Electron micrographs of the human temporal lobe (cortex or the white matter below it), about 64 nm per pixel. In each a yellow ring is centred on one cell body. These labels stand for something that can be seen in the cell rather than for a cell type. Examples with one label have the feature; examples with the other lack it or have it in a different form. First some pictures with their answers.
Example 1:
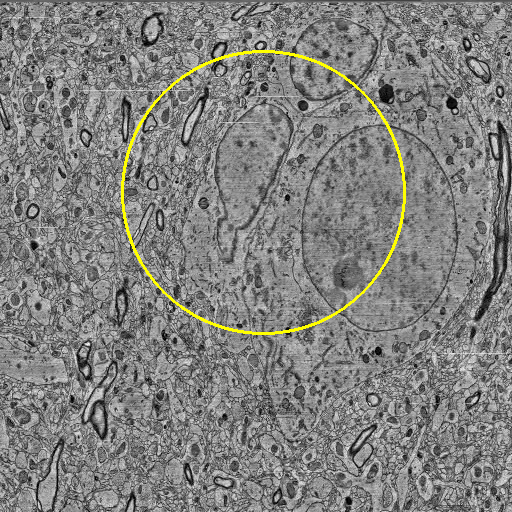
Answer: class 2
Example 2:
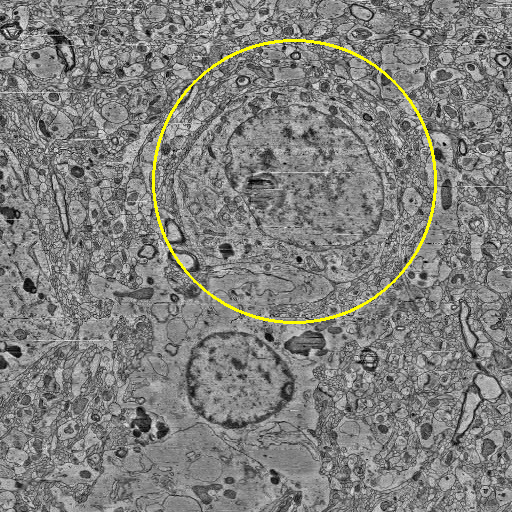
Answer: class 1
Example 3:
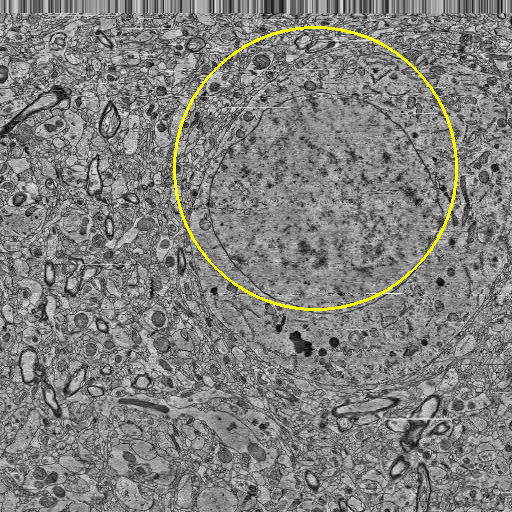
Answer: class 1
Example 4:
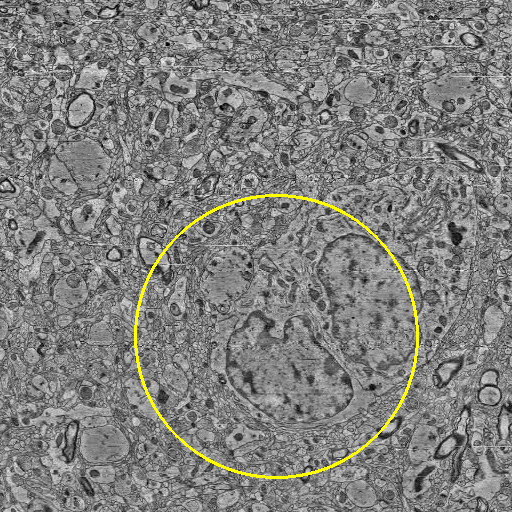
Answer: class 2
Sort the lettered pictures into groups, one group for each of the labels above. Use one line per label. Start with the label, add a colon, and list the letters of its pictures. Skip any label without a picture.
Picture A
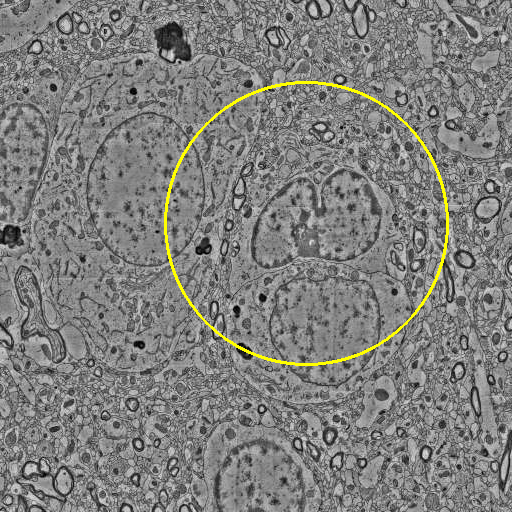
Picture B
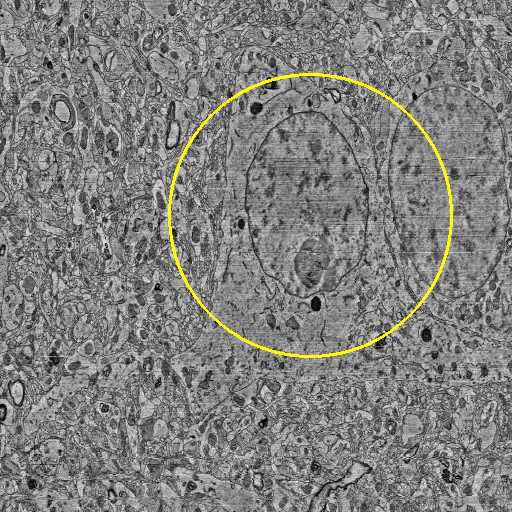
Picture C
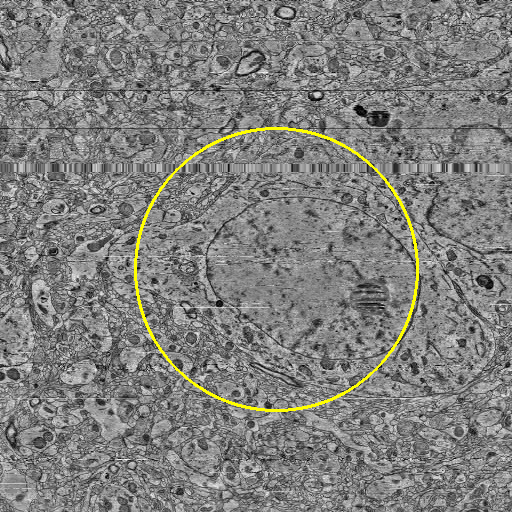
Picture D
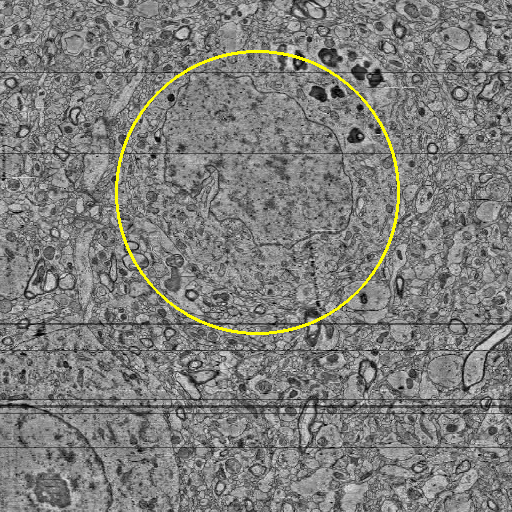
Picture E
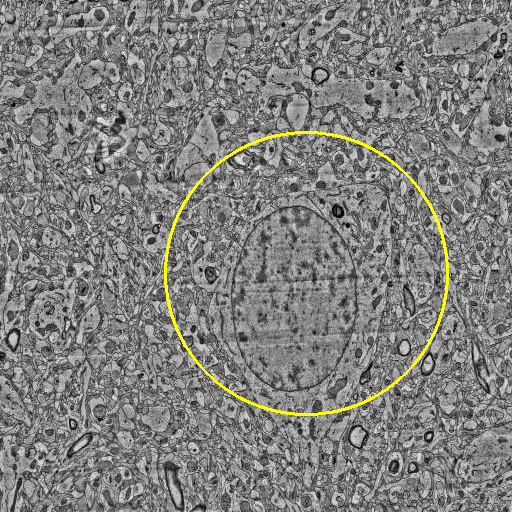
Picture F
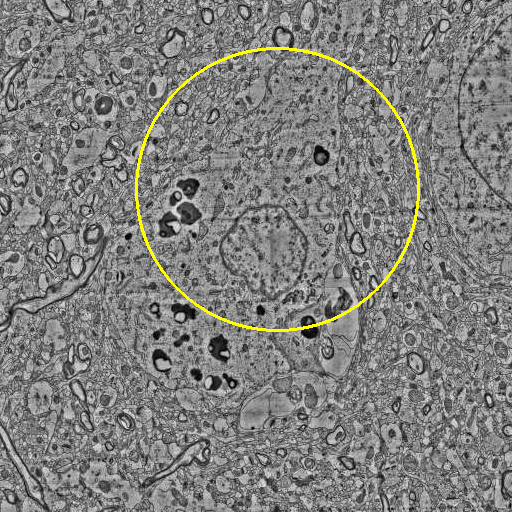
class 2: A, D
class 1: B, C, E, F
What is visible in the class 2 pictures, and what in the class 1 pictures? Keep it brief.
Seen in class 2: deeply folded or indented nuclear envelopes; seen in class 1: smooth nuclear envelopes without deep folds.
